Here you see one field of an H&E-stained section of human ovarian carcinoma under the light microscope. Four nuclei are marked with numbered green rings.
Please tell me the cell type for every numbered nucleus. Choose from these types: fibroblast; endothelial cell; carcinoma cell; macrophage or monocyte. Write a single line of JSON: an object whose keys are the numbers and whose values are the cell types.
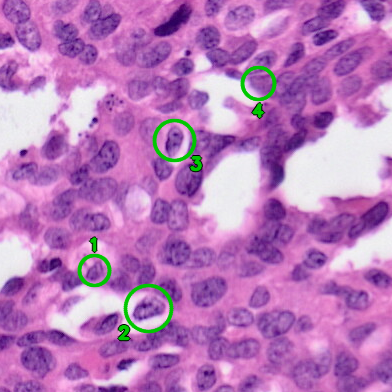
{"1": "macrophage or monocyte", "2": "macrophage or monocyte", "3": "macrophage or monocyte", "4": "carcinoma cell"}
